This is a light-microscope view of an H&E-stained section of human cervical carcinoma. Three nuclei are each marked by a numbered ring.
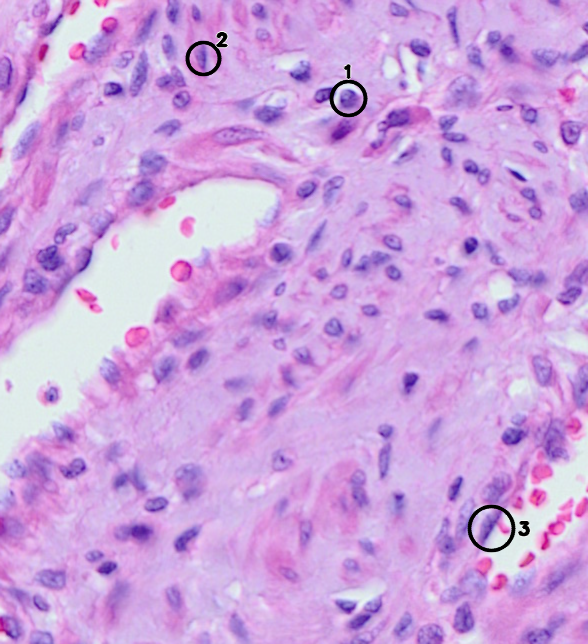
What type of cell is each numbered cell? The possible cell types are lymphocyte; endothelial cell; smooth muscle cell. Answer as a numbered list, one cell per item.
1. lymphocyte
2. smooth muscle cell
3. endothelial cell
